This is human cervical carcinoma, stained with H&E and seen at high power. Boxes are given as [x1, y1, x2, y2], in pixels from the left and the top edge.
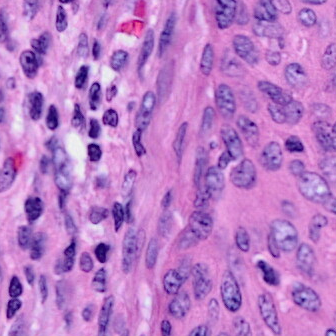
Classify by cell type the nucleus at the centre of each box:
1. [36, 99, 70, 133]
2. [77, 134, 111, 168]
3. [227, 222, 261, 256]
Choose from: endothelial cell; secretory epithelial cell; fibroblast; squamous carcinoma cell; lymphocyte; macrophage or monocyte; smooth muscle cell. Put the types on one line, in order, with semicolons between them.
lymphocyte; lymphocyte; squamous carcinoma cell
